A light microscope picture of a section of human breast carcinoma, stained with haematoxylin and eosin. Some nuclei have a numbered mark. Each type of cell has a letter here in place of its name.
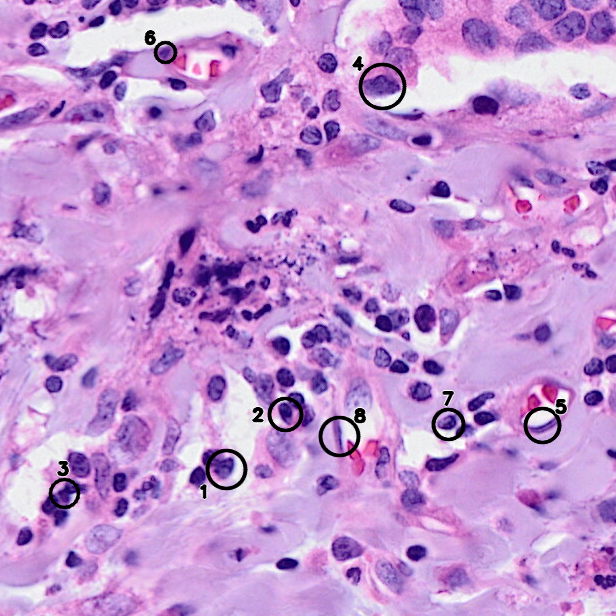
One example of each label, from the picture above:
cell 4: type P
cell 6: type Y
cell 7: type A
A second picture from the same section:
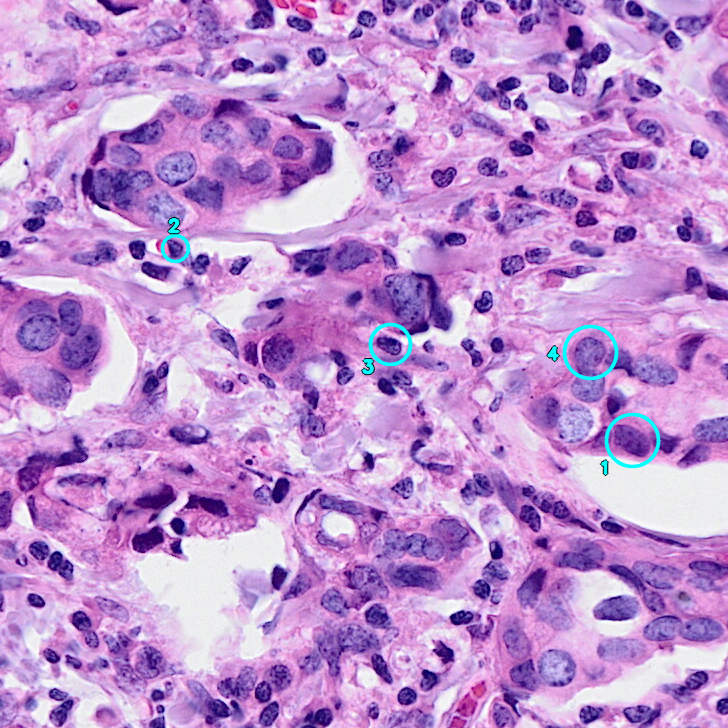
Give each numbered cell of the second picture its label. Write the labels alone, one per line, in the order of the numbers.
type P
type Y
type A
type P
